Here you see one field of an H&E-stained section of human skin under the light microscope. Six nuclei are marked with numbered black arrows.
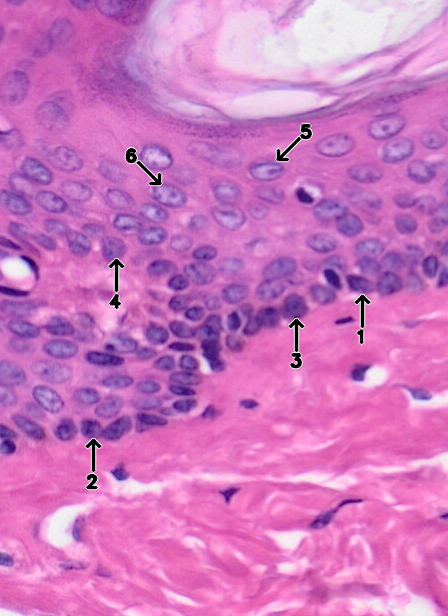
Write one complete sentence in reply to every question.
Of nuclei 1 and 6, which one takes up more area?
Nucleus 6 covers more area, about 1.5 times as much as nucleus 1.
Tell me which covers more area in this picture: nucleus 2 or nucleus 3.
Number 3 is larger; its area is about 1.5 times that of number 2.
